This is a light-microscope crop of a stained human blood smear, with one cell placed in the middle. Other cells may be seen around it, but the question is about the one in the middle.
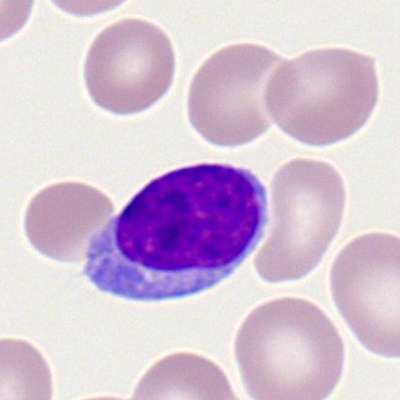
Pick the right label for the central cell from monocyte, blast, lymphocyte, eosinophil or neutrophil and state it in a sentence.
Here the cell in the middle is a lymphocyte.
